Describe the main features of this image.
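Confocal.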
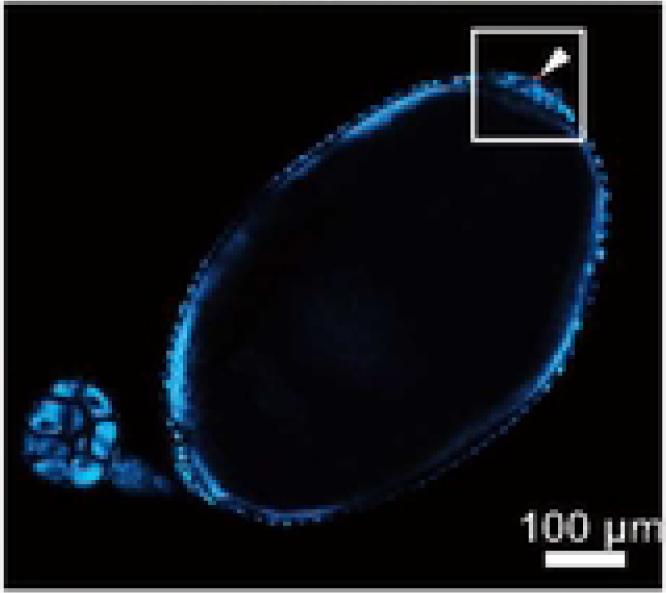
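A large oval vitellogenic oocyte is surrounded by a thin layer of follicle cells whose small blue nuclei line its entire border. At one end of the oval the nuclei crowd into a thicker cap, while a small cluster of larger, rounded blue nuclei sits attached at the opposite end outside the oocyte.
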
